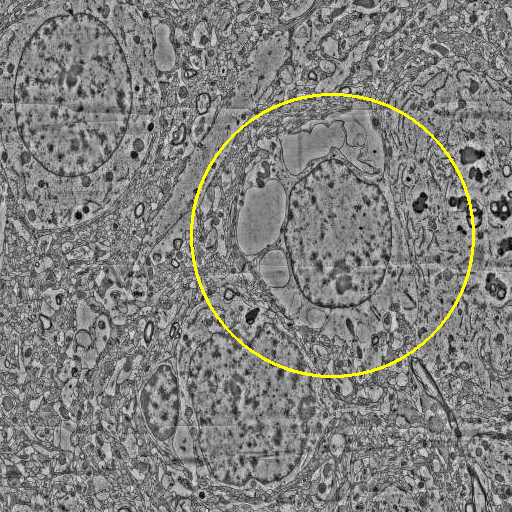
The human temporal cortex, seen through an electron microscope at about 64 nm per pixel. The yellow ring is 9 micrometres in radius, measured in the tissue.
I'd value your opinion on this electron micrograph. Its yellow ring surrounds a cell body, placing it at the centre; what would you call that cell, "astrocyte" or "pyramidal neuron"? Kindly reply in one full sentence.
It is an astrocyte that sits centred within the yellow ring in this micrograph.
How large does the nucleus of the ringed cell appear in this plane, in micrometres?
Roughly 10 by 7 micrometres is the size of the nucleus in this plane.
